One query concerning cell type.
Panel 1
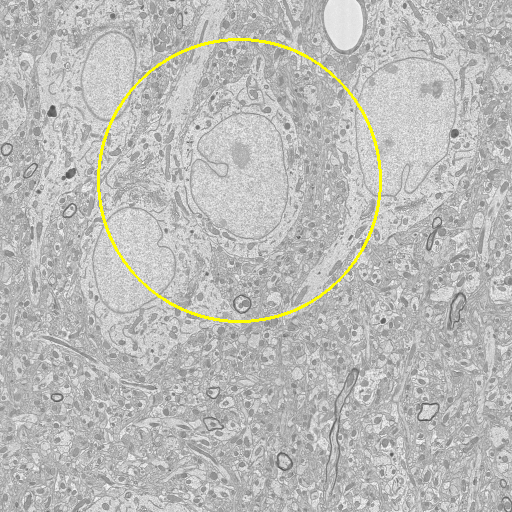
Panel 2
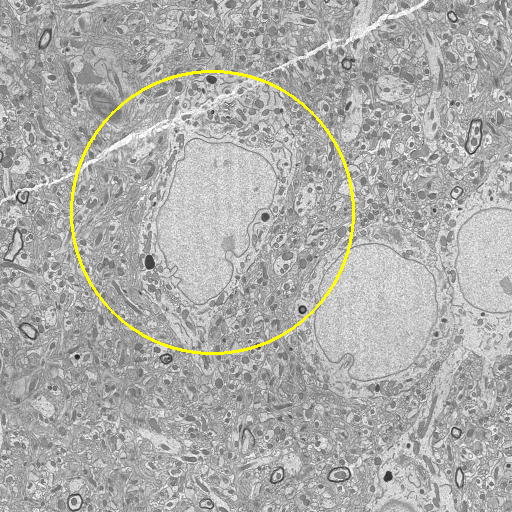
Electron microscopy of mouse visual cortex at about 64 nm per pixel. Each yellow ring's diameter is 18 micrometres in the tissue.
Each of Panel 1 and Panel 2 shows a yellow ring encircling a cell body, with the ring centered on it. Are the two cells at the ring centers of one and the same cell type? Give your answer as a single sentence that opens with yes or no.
Yes, the cell centered in Panel 1 and the one in Panel 2 share a type.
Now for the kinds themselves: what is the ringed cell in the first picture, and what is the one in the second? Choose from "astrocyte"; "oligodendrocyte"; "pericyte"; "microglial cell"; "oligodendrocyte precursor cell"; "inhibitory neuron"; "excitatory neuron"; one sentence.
Both rings mark an inhibitory neuron, one in each picture.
